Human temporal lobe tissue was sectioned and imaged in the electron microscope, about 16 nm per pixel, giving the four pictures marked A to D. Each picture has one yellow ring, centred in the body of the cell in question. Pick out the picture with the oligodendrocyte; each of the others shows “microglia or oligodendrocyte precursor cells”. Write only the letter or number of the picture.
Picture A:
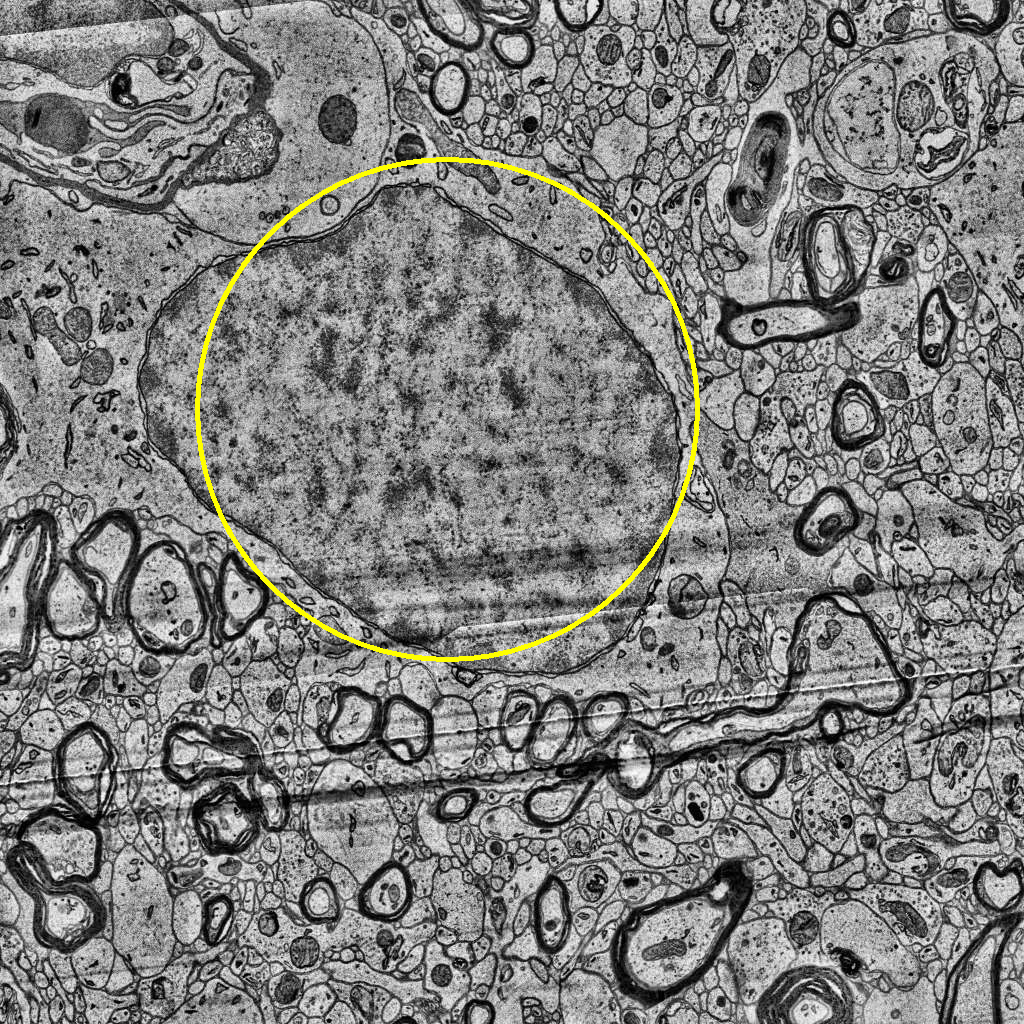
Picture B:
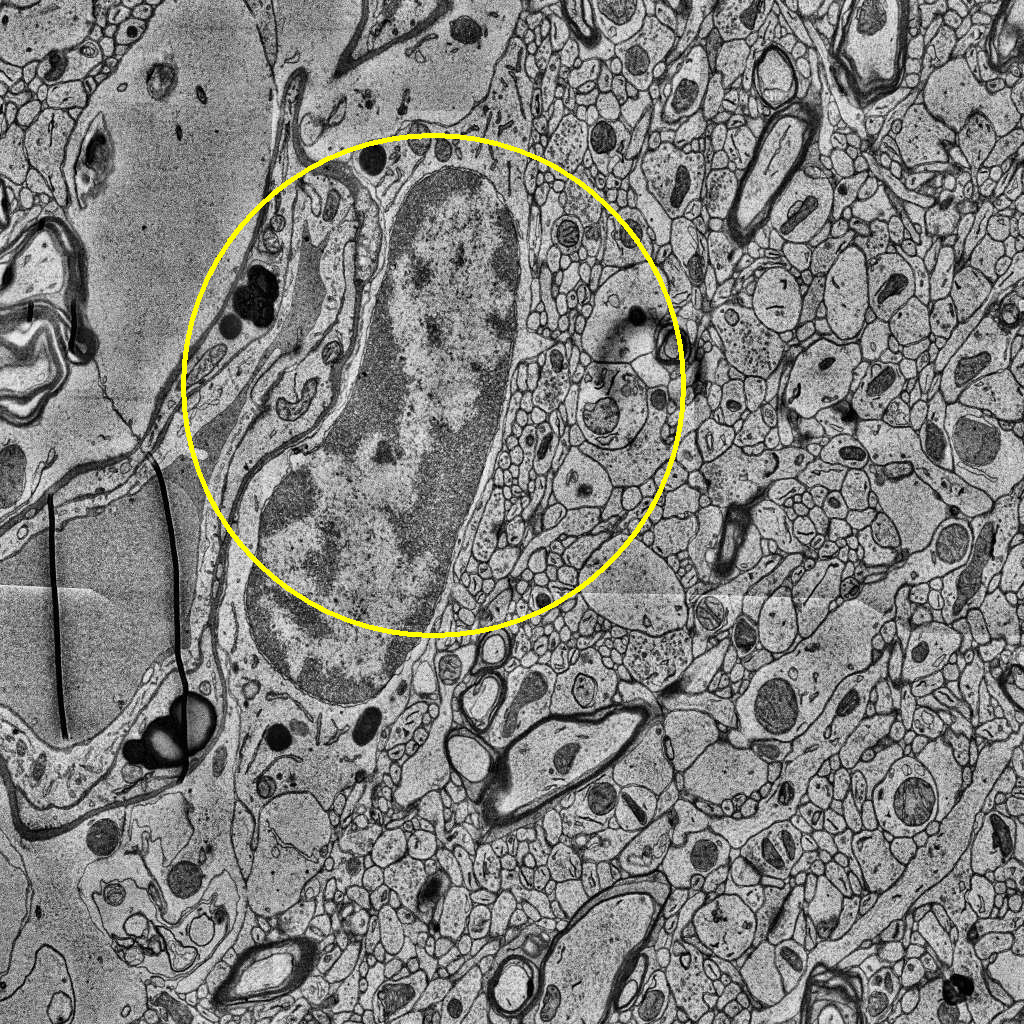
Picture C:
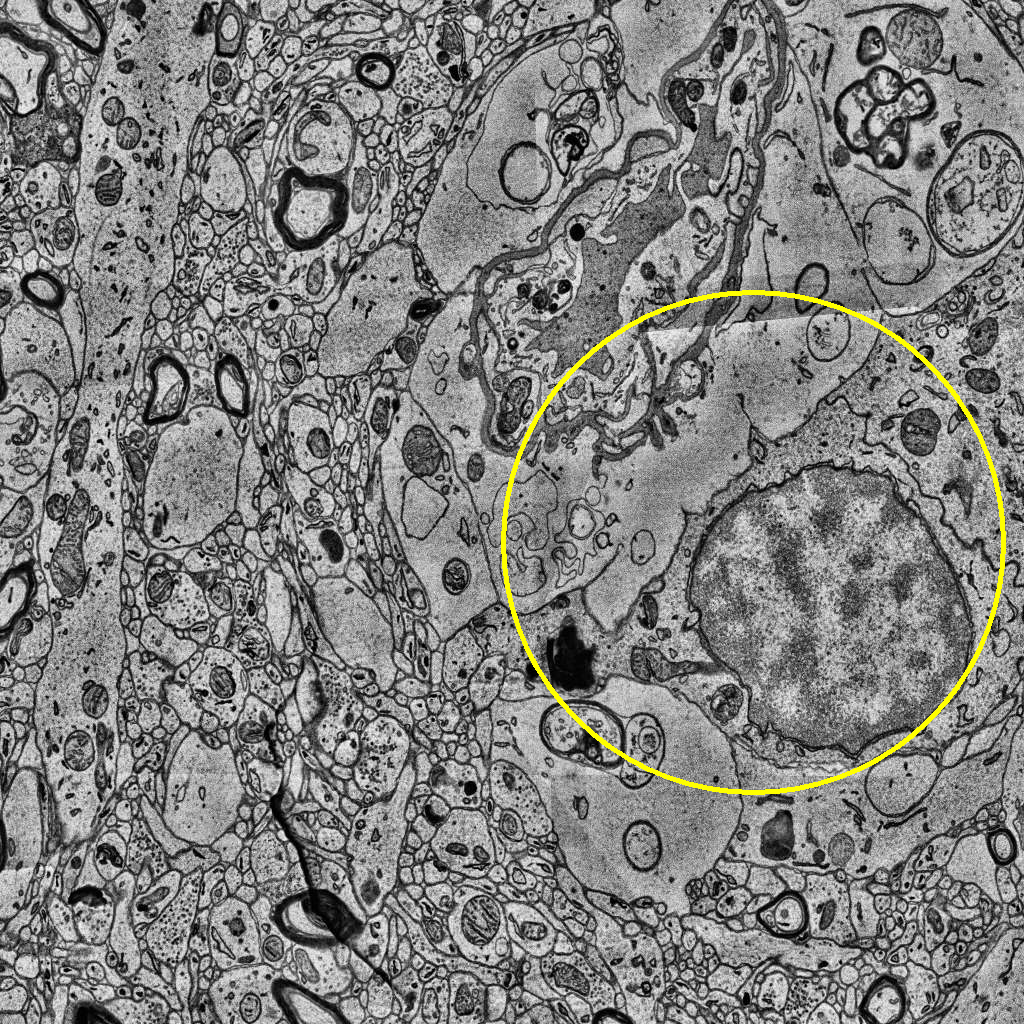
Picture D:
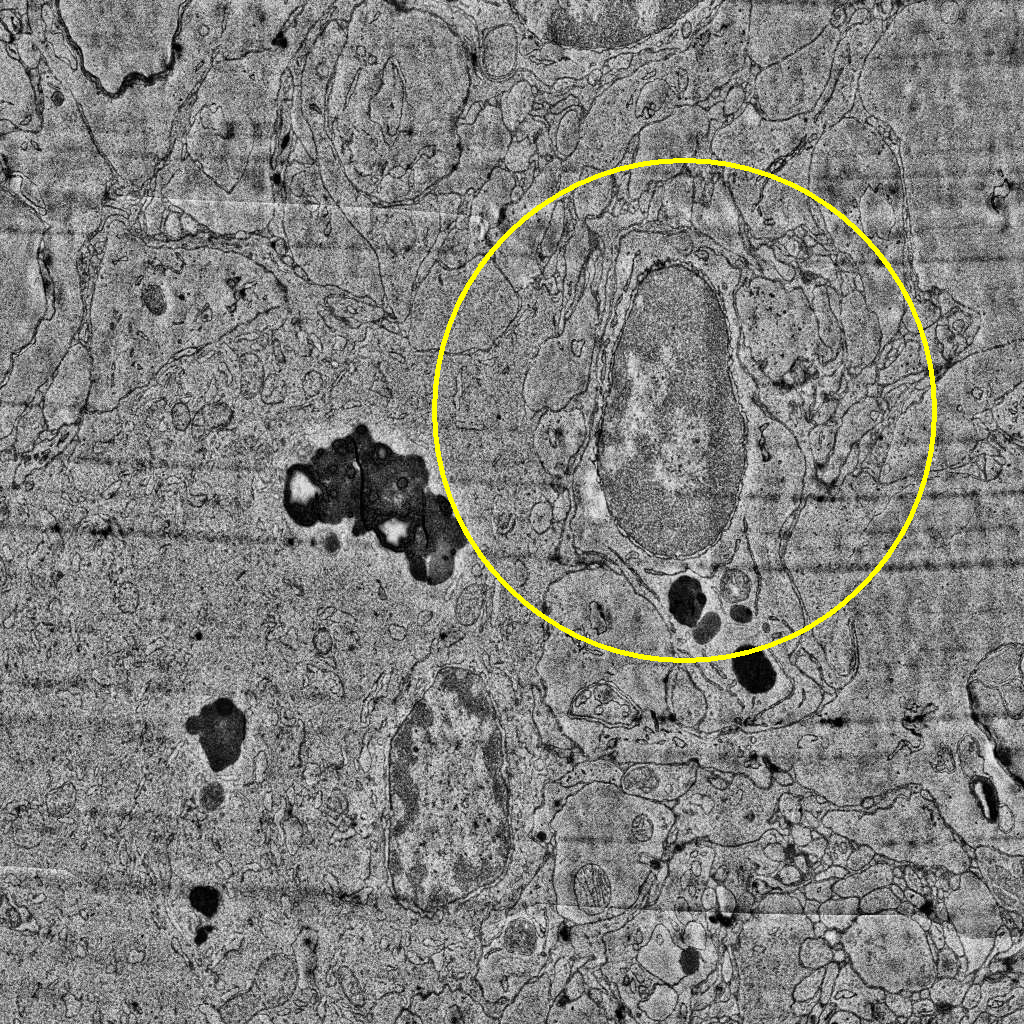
C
